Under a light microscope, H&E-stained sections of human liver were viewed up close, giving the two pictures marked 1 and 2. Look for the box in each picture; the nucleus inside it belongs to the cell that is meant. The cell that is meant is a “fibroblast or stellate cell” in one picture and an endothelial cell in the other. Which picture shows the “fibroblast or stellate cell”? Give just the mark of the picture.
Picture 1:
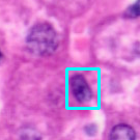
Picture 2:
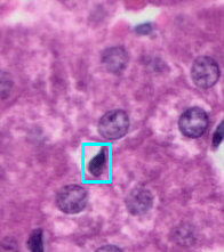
1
